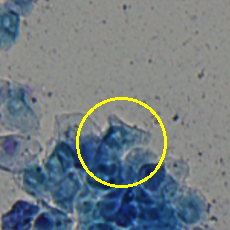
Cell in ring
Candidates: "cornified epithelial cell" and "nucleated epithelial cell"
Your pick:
cornified epithelial cell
